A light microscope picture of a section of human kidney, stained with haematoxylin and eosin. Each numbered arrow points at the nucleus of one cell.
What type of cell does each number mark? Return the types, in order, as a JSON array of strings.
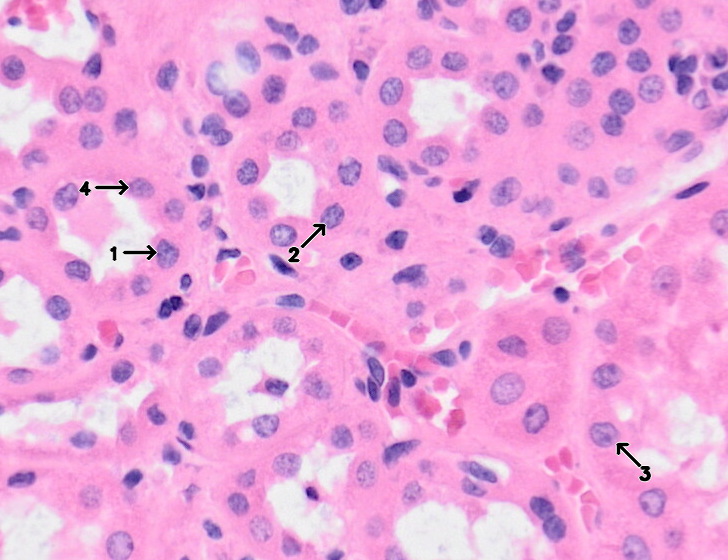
["loop of Henle or distal tubule cell", "loop of Henle or distal tubule cell", "proximal tubule cell", "loop of Henle or distal tubule cell"]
